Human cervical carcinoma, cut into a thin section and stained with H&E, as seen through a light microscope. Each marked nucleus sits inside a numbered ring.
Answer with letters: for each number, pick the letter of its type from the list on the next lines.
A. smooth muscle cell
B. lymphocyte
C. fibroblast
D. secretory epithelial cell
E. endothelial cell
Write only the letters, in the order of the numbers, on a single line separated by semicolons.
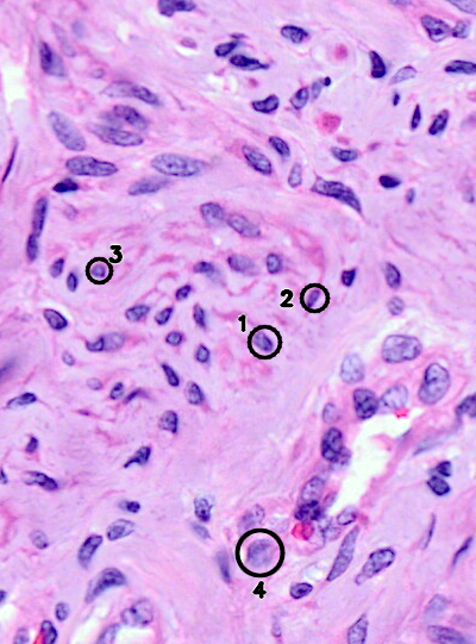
A; A; A; E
